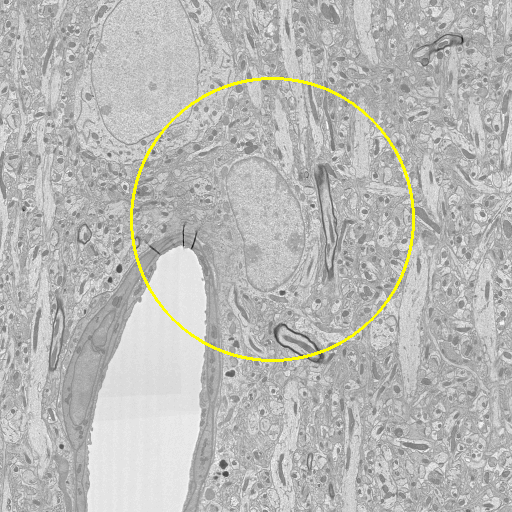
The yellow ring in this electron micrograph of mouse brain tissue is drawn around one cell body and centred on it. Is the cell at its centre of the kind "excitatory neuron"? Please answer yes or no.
no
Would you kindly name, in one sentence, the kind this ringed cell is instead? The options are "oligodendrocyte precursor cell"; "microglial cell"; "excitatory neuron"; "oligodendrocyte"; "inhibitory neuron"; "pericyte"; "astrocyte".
Instead, the cell inside the ring is an astrocyte.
